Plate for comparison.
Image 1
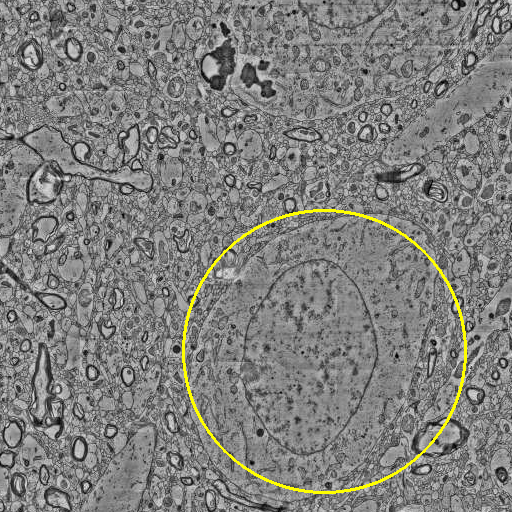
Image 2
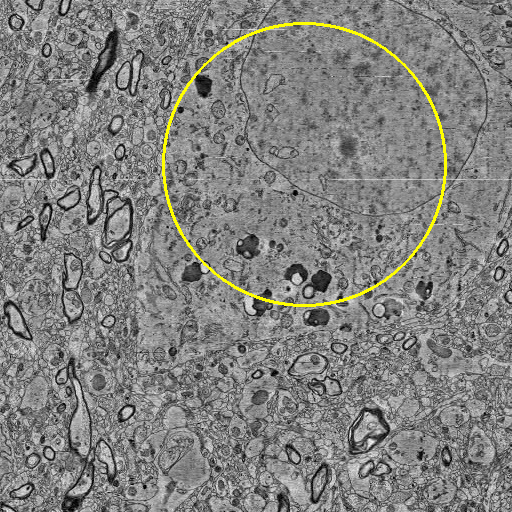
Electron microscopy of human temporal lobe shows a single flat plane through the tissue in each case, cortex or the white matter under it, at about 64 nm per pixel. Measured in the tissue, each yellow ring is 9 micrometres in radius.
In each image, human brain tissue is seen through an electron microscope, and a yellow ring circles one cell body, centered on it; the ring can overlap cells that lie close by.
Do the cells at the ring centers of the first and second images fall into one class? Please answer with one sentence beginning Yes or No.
Yes, the first and second images show a single class of cell at the ring centers.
